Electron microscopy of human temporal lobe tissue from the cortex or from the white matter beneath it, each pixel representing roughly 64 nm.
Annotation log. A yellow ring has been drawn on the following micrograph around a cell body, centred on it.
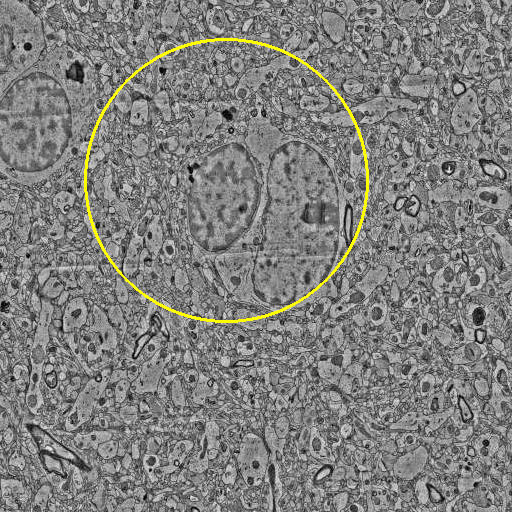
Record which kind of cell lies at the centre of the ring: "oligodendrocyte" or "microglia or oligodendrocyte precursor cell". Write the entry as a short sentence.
The cell the ring is centred on is an oligodendrocyte.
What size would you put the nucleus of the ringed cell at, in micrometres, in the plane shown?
Roughly 7 by 5 micrometres in this plane, for the nucleus of the ringed cell.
